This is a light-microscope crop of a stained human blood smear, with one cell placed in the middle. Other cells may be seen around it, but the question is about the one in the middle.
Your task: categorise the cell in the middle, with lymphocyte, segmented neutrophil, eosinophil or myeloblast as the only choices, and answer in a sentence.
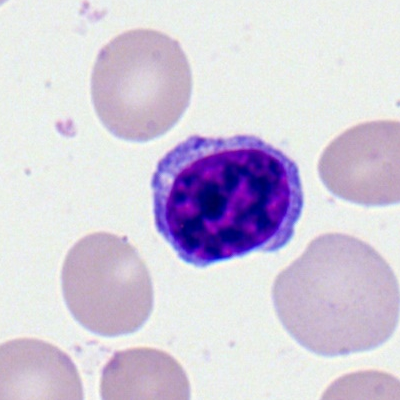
The cell around which this crop is centred is a lymphocyte.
